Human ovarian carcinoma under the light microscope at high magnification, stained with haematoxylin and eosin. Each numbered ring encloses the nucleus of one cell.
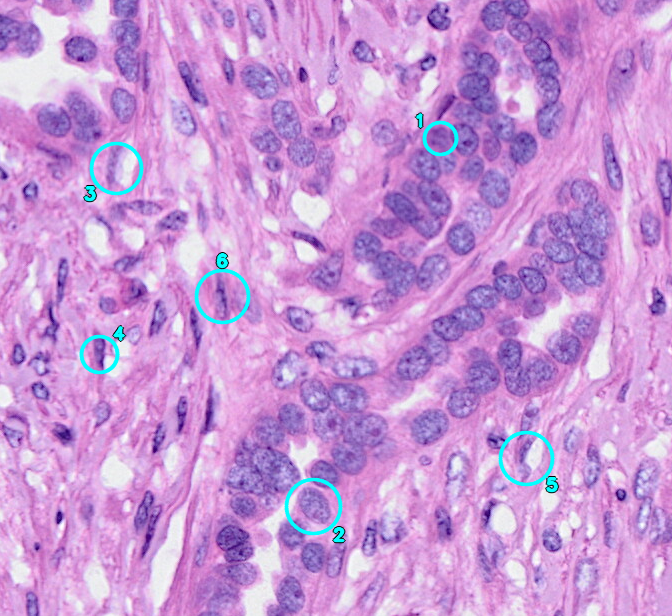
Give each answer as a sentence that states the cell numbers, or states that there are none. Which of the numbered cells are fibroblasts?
The cells given the numbers 3, 4, 5 and 6 are fibroblasts.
